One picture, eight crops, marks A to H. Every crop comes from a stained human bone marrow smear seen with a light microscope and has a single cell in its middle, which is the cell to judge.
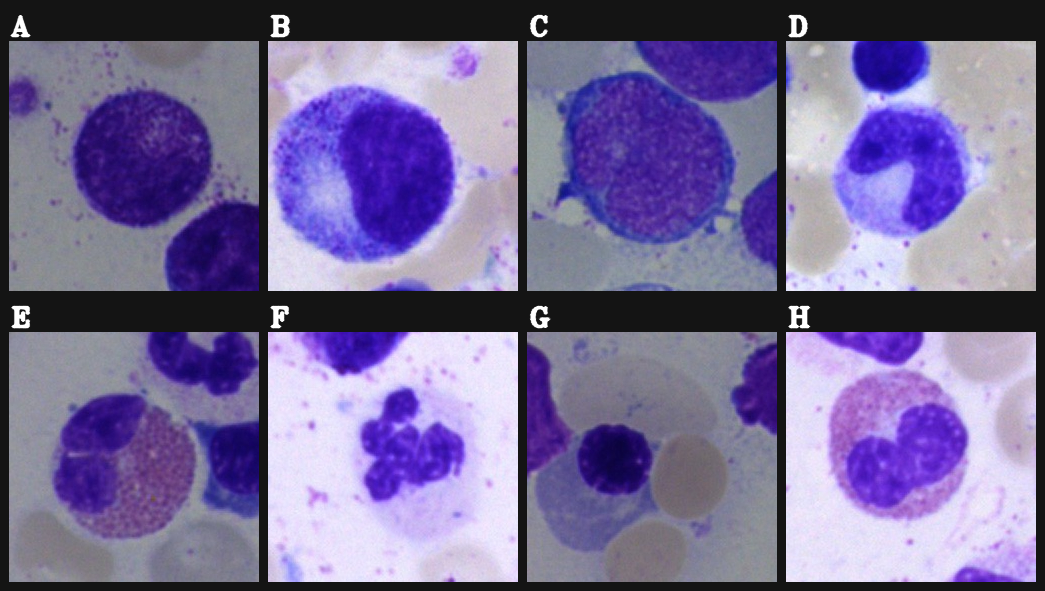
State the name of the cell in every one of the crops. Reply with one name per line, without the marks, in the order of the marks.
metamyelocyte
promyelocyte
blast
band neutrophil
eosinophil
segmented neutrophil
erythroblast
eosinophil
